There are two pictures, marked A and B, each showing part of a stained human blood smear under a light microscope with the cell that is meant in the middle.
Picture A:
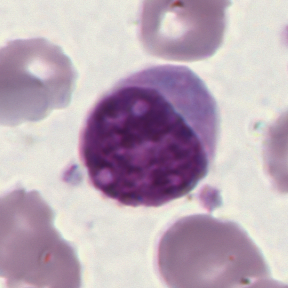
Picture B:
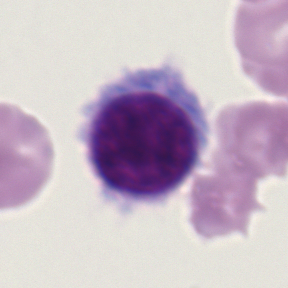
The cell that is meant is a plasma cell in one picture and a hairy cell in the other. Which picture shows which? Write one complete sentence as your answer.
Picture A is of a plasma cell, and picture B is of a hairy cell.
